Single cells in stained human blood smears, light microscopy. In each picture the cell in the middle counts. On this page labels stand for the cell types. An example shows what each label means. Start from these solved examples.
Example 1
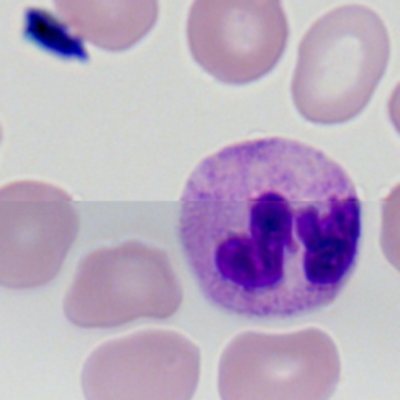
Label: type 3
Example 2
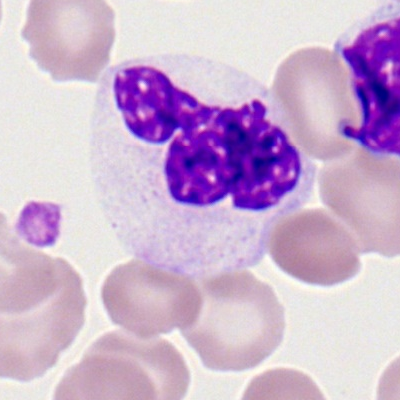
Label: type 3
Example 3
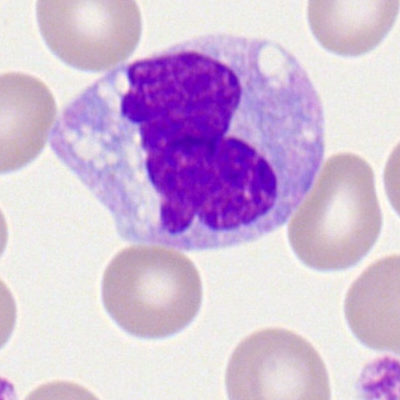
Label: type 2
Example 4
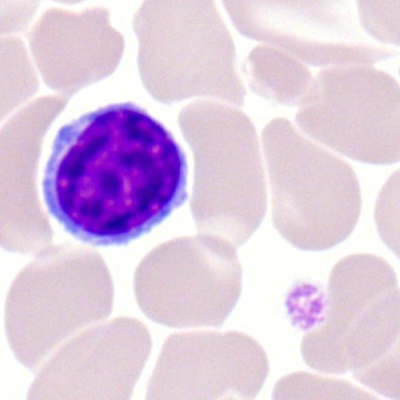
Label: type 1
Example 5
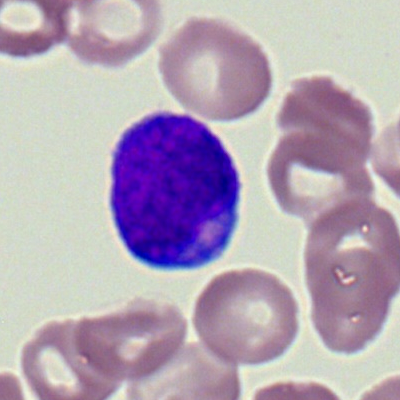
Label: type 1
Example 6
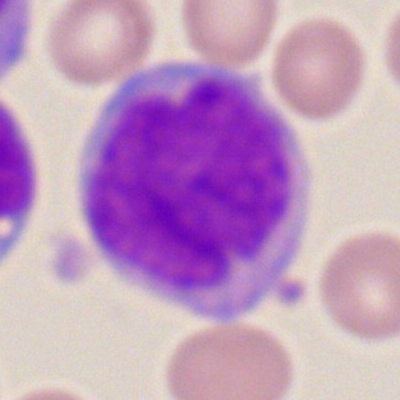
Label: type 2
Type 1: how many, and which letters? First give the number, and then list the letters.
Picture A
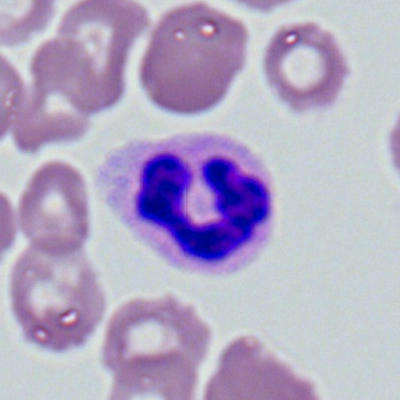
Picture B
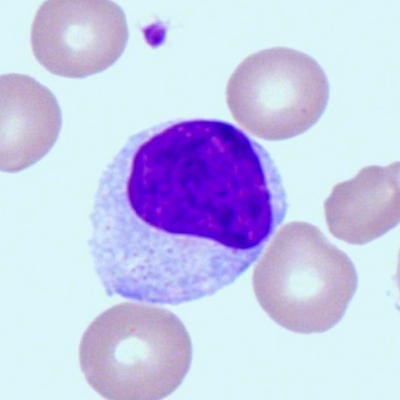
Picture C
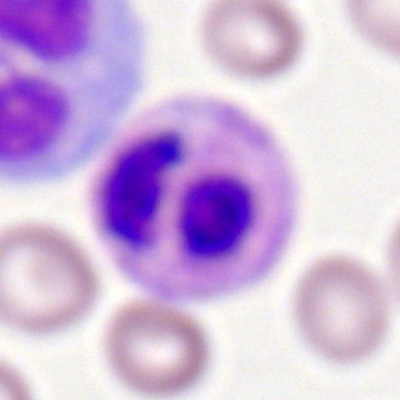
1: B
